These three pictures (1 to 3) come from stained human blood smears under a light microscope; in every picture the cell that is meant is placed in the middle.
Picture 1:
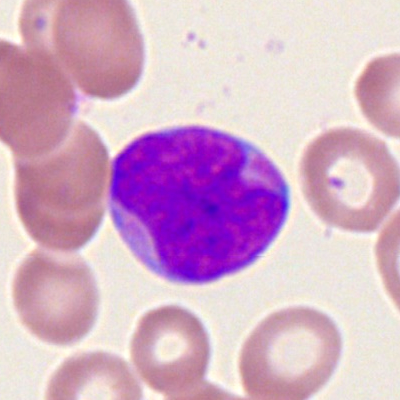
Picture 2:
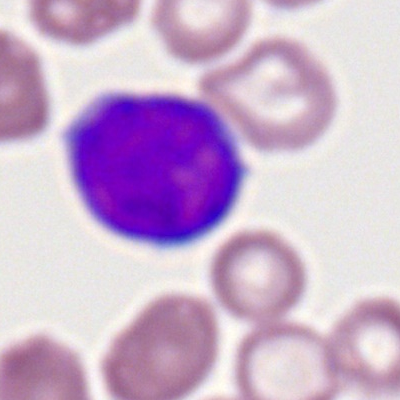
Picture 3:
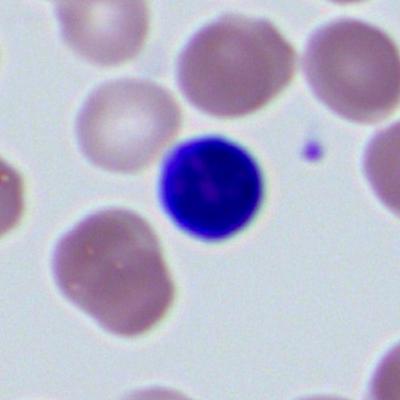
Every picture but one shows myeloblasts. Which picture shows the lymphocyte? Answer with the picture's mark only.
3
